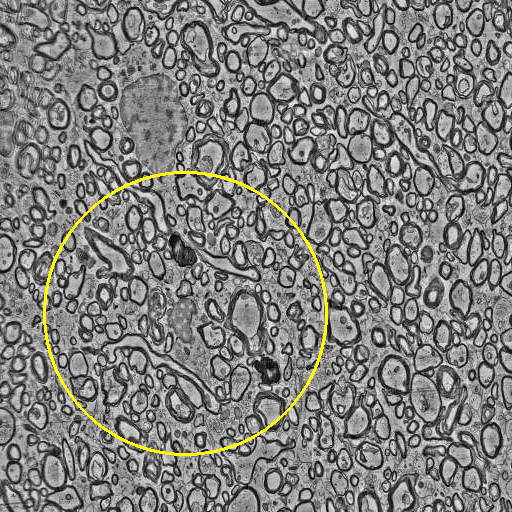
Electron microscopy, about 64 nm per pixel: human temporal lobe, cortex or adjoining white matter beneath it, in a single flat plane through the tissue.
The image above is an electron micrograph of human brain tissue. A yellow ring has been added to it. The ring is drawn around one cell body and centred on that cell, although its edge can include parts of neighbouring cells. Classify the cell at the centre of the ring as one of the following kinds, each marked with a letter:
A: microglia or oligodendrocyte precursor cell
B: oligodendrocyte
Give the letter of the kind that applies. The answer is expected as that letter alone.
B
